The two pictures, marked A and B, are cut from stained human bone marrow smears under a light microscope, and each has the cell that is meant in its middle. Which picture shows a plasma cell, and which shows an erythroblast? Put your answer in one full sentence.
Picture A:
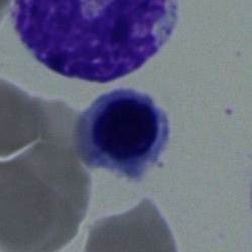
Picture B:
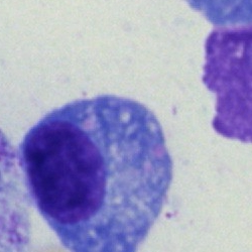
It is picture A that shows an erythroblast, and picture B that shows a plasma cell.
